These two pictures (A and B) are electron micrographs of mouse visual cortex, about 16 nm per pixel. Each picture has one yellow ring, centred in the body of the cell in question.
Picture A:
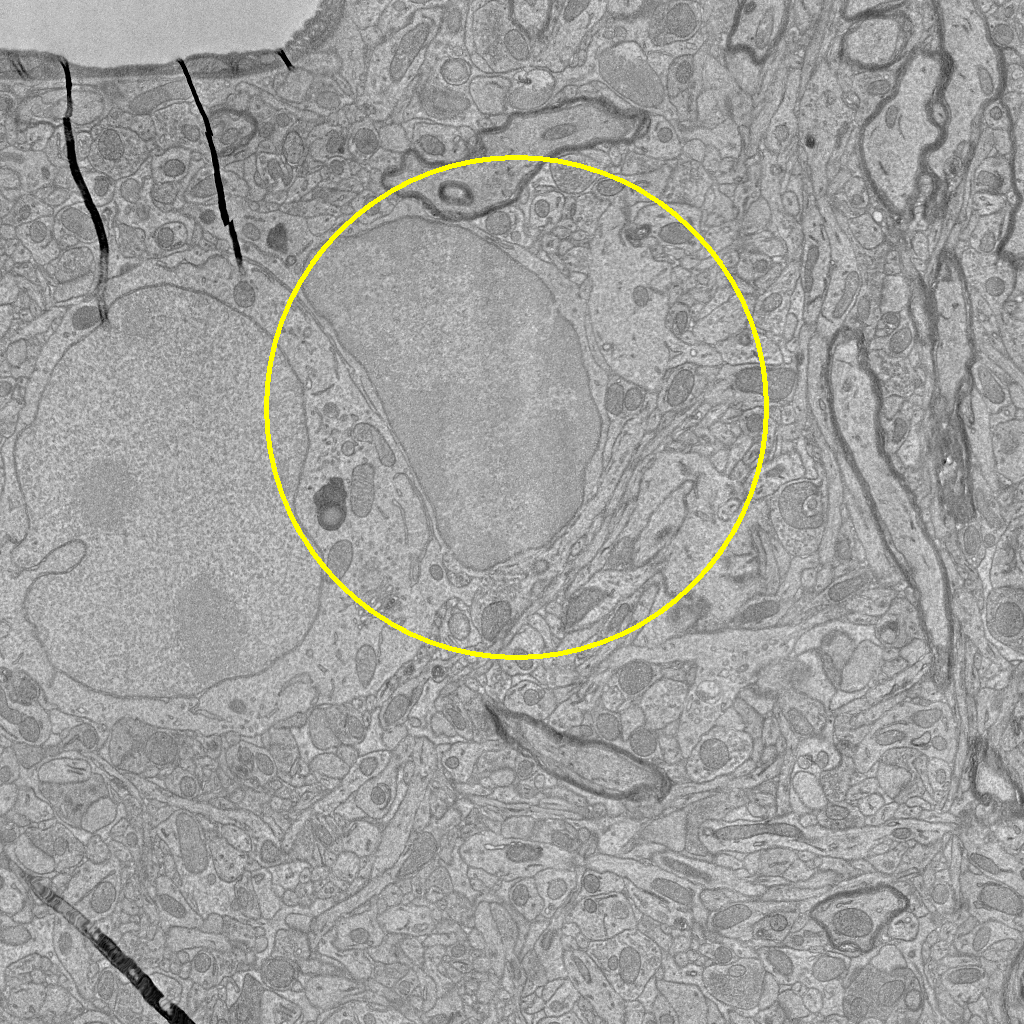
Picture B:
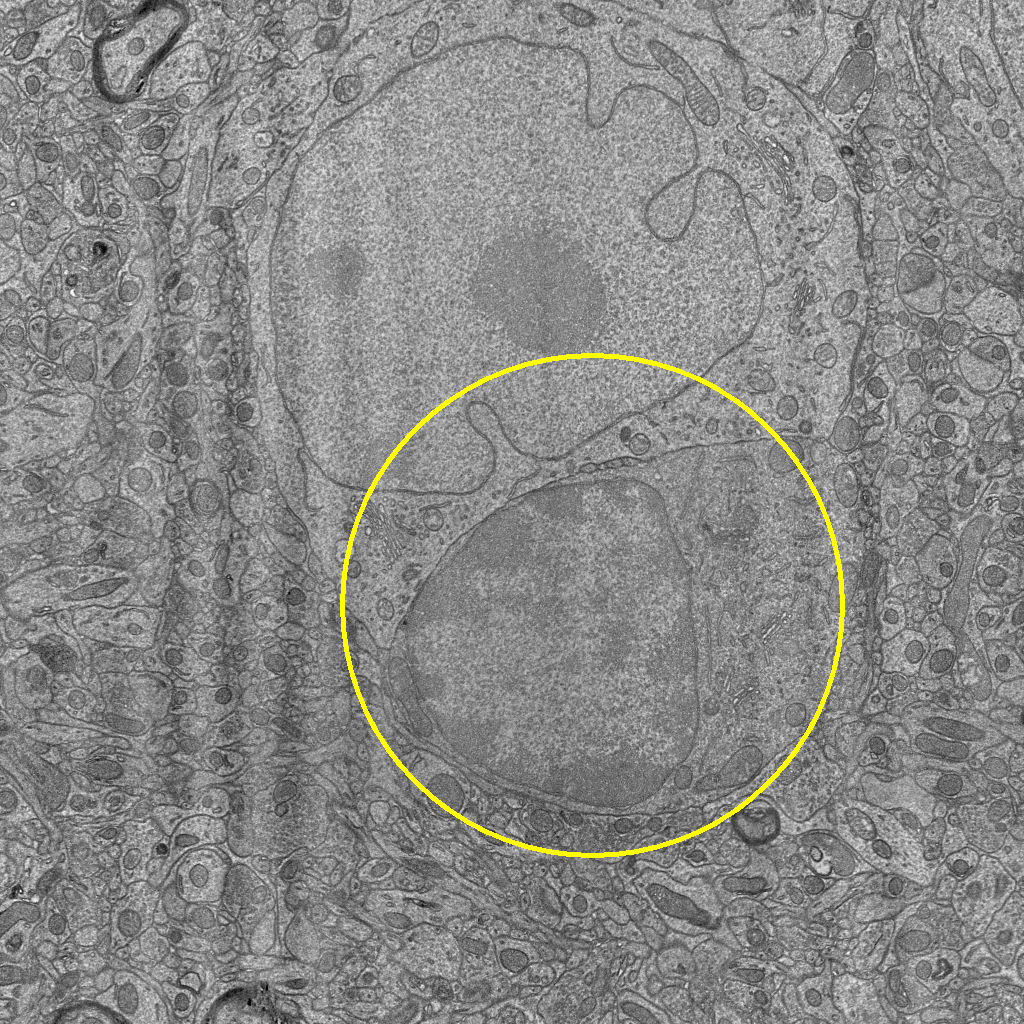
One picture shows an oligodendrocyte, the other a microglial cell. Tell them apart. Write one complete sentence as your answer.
It is picture A that shows a microglial cell, and picture B that shows an oligodendrocyte.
